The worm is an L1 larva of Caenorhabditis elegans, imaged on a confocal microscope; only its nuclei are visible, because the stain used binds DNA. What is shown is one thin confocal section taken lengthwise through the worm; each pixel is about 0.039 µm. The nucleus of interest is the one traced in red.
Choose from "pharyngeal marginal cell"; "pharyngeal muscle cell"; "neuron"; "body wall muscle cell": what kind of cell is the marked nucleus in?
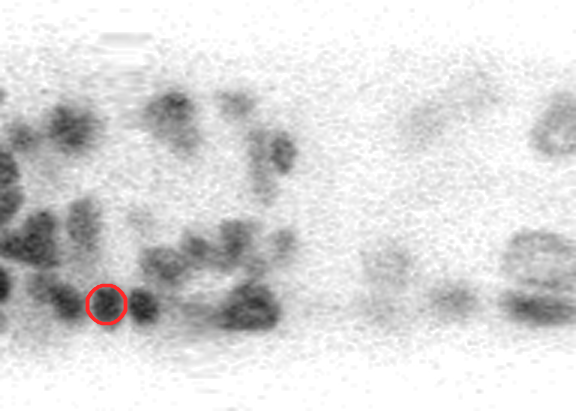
neuron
